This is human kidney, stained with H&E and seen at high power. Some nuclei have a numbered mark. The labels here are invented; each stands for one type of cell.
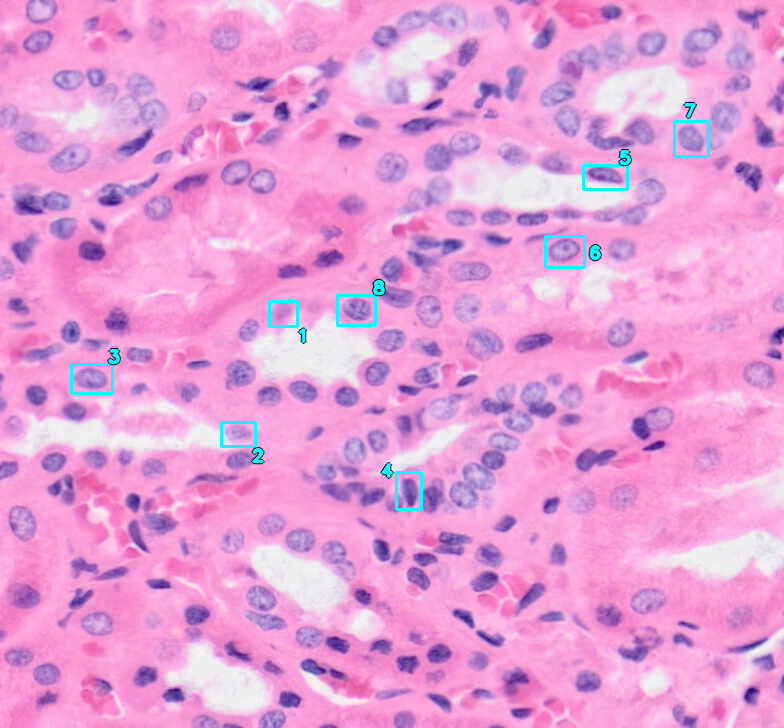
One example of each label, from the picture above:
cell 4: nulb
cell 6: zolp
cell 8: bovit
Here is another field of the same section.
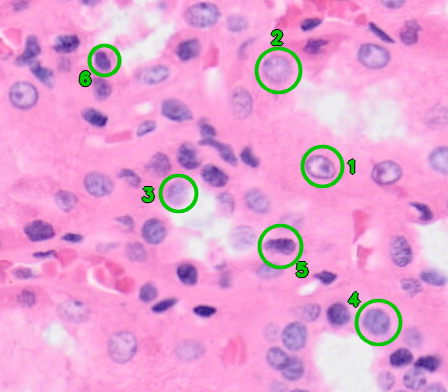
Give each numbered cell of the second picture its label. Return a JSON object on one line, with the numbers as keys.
{"1": "zolp", "2": "zolp", "3": "bovit", "4": "nulb", "5": "bovit", "6": "bovit"}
